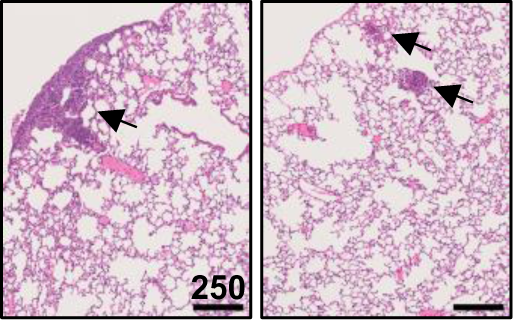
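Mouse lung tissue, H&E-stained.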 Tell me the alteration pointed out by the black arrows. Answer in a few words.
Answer: metastases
